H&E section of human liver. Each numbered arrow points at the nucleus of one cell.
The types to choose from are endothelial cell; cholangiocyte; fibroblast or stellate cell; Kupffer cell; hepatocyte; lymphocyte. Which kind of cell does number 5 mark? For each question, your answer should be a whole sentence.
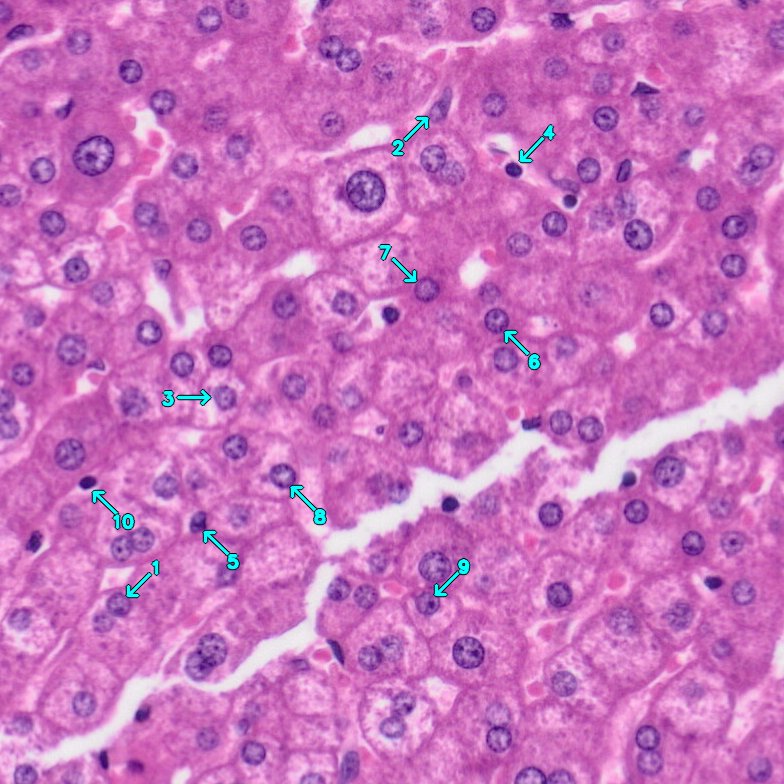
Denoted by the label 5 in the section is an endothelial cell.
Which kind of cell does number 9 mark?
The cell numbered 9 represents a hepatocyte.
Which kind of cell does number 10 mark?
Corresponding to a lymphocyte is the cell labelled 10.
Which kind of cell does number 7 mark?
The cell marked with the number 7 is a hepatocyte.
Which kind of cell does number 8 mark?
The cell assigned the number 8 is a hepatocyte.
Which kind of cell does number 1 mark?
The cell assigned the number 1 is a hepatocyte.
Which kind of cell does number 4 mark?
Number 4 is placed on a lymphocyte here.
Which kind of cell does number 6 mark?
The correct answer for cell 6 is a hepatocyte.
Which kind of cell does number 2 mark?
The cell pointed out by number 2 is a Kupffer cell.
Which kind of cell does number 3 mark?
Among the marked cells, number 3 is a hepatocyte.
